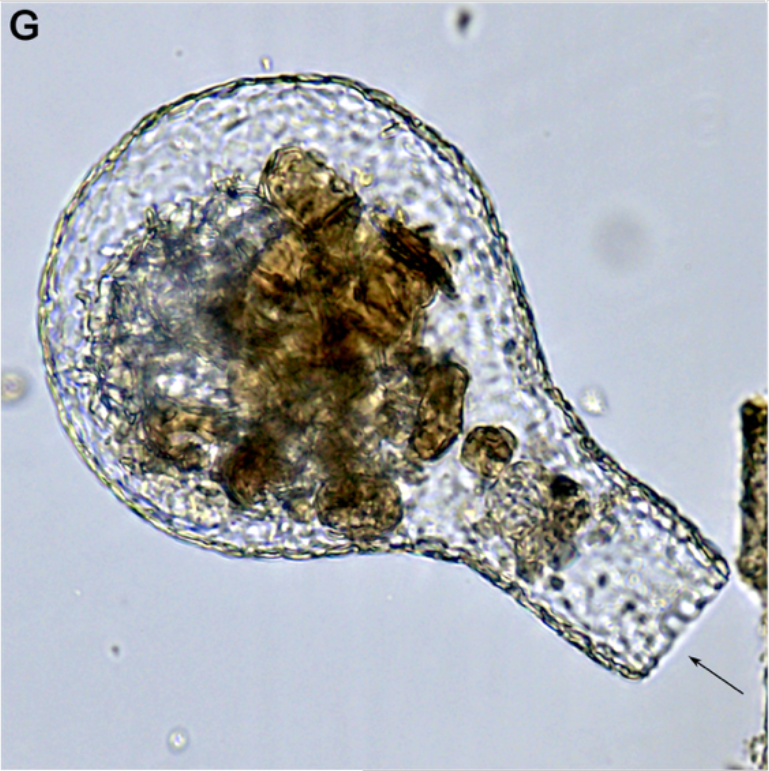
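Bottle-shaped testate amoeba shell with a rounded body and a long cylindrical neck ending in an open aperture. The shell wall is thin and finely textured with small plates; the body holds a dense brown mass of ingested or contained particles, some spilling toward the neck.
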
